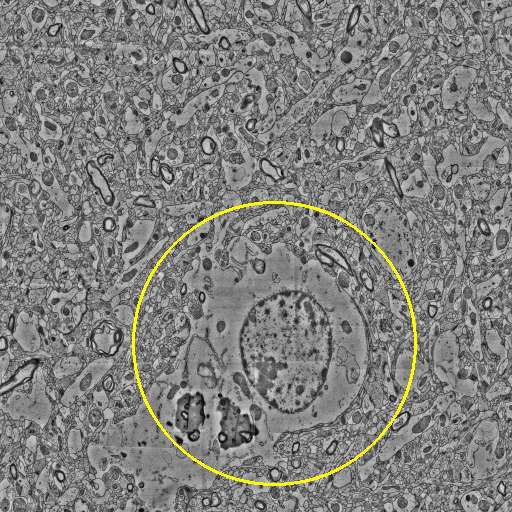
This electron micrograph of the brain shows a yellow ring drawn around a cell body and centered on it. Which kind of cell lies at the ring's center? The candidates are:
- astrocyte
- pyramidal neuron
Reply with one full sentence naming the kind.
The cell lying at the ring's center in this micrograph is an astrocyte.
